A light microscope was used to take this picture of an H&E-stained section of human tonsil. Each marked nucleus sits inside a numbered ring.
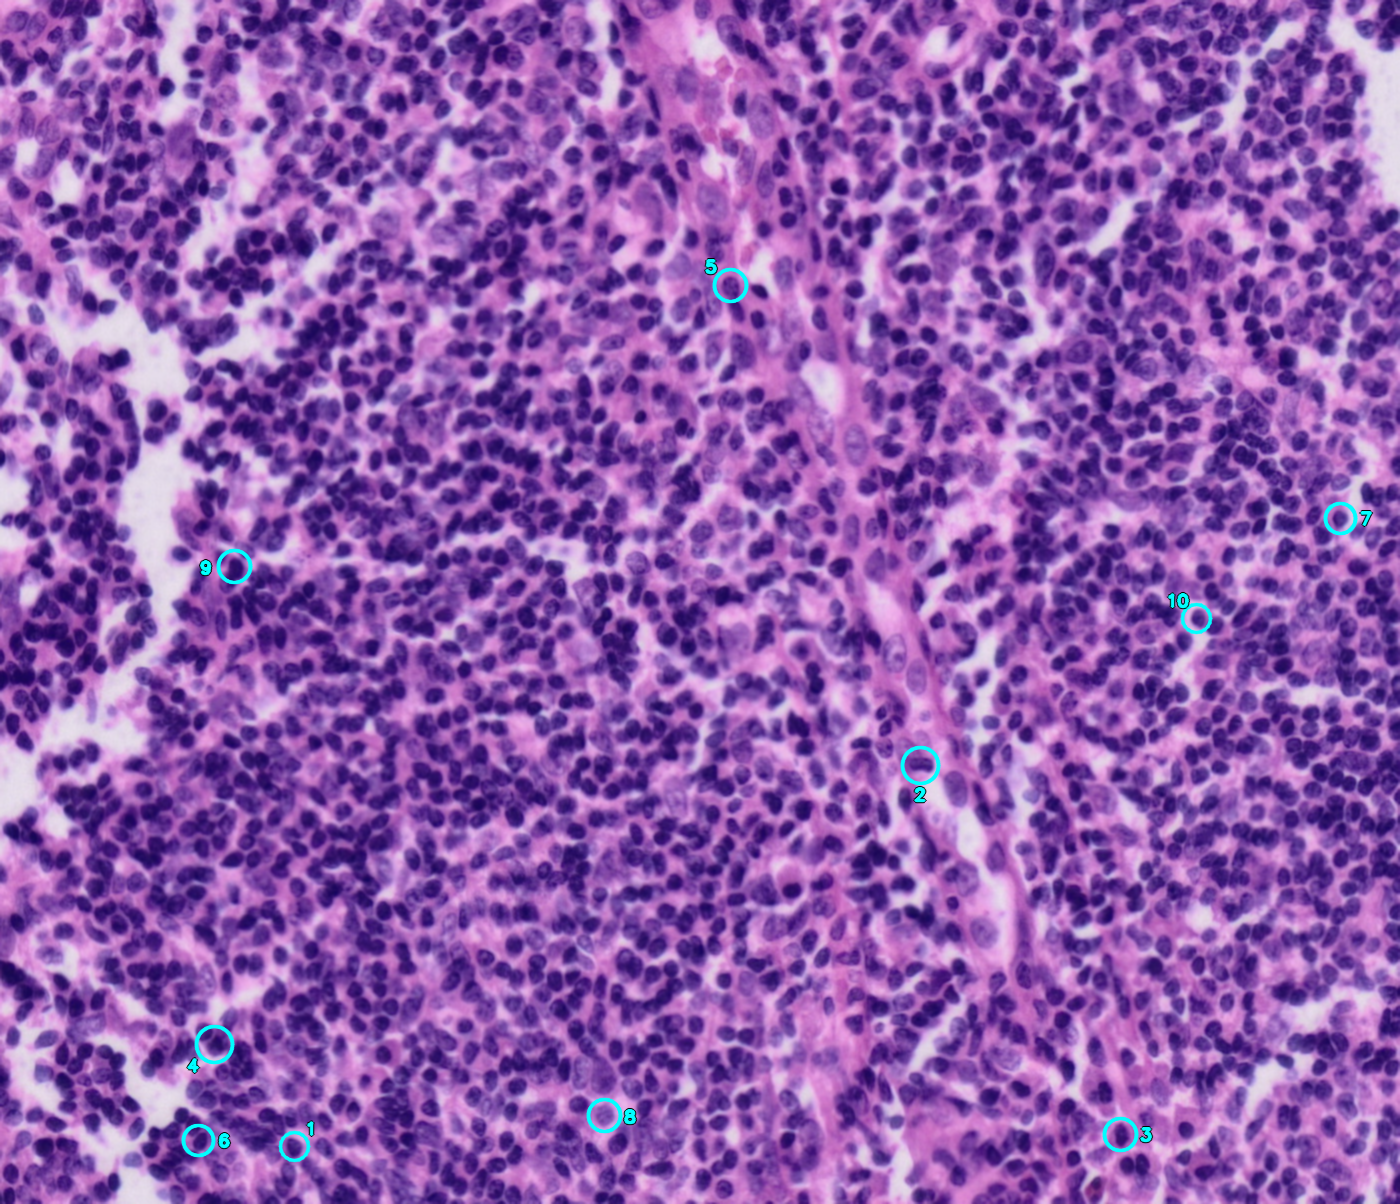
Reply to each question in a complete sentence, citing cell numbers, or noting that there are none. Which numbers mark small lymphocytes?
Cells 1, 4, 6, 7, 9 and 10 are small lymphocytes by cell type.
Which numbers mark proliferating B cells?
It is only cell 8 that is a proliferating B cell among the numbered cells.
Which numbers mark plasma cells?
Among the labelled cells, only the cell labelled 3 is a plasma cell.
